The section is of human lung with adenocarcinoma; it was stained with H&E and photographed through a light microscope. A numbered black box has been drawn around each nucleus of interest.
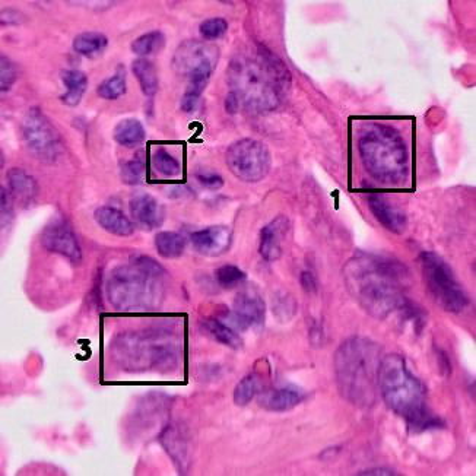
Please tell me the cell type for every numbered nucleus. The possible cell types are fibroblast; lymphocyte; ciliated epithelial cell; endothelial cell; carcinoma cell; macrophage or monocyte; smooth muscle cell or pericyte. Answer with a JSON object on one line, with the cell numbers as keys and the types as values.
{"1": "carcinoma cell", "2": "lymphocyte", "3": "carcinoma cell"}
